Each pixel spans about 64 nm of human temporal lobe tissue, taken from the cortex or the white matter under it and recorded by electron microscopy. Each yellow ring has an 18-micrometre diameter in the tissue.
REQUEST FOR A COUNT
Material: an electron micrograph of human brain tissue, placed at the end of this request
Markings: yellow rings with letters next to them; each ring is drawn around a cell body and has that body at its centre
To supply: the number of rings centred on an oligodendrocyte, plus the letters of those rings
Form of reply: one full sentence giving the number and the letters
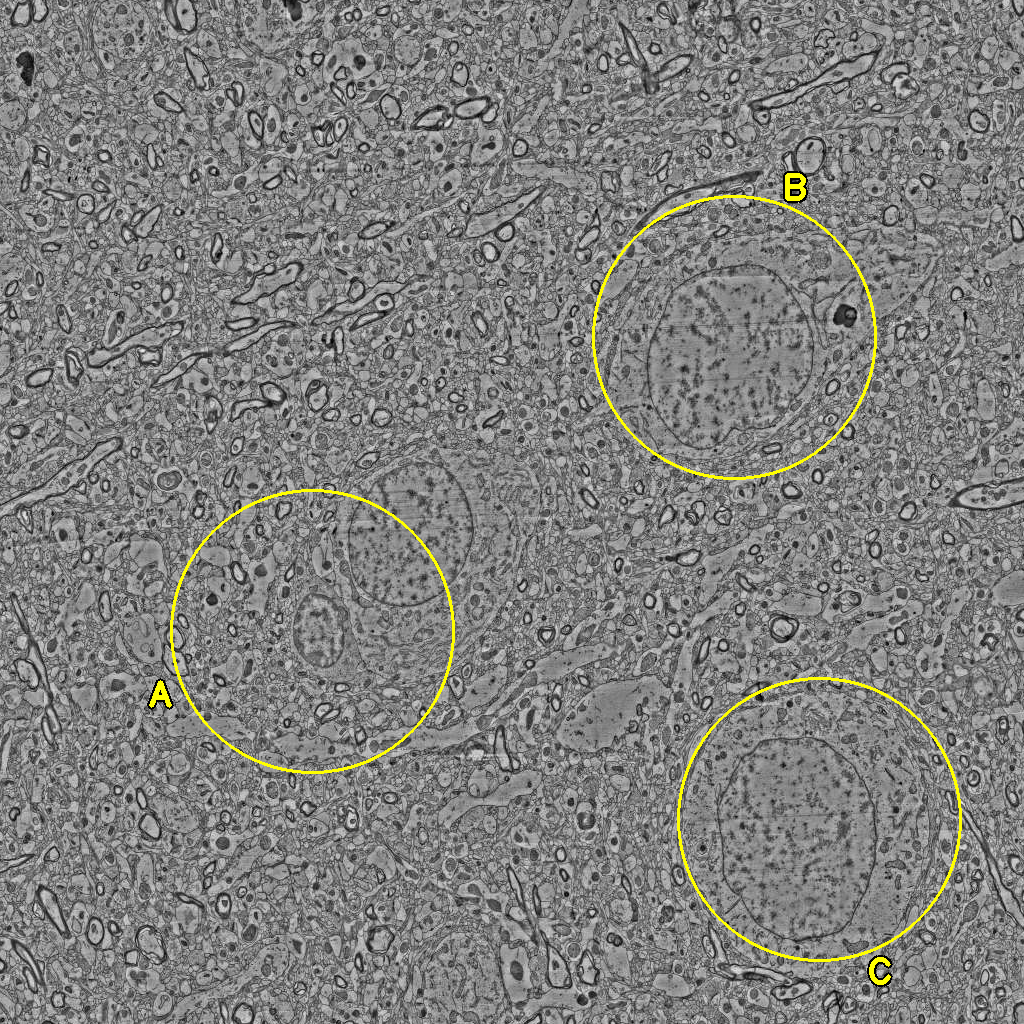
Of all the rings, only one has an oligodendrocyte at its centre, and it bears the letter A.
